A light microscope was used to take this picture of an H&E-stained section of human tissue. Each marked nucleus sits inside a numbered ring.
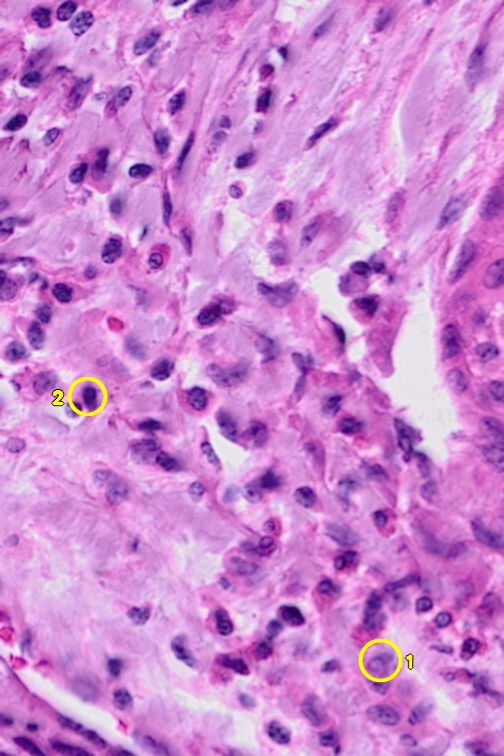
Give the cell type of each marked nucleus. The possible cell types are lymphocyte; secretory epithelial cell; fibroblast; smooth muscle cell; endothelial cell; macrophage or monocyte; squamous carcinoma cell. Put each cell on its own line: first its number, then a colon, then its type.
1: endothelial cell
2: lymphocyte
